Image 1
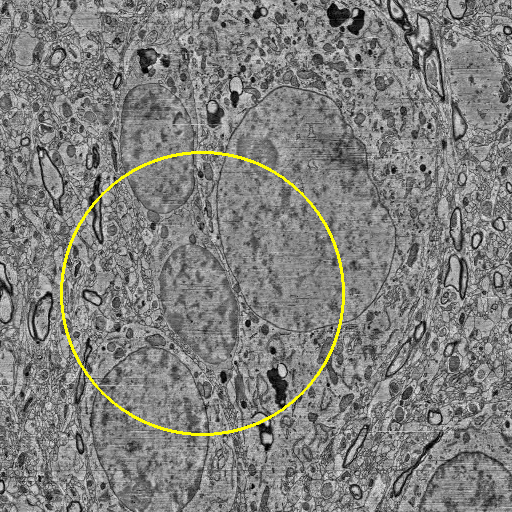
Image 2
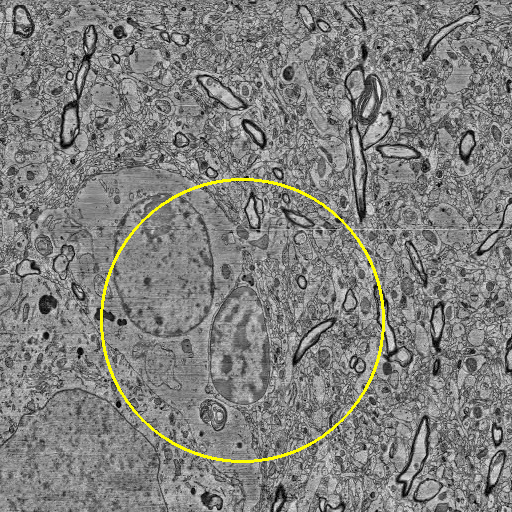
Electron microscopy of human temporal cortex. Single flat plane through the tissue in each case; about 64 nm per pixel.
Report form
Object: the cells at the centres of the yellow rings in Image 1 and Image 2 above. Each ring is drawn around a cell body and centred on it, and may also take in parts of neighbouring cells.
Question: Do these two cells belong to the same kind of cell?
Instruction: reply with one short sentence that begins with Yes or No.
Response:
No, they belong to two kinds of cell.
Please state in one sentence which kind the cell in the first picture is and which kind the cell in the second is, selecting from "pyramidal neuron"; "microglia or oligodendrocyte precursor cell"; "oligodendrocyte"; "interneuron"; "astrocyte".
The first ringed cell is an oligodendrocyte, the second ringed cell a microglial cell or oligodendrocyte precursor cell.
